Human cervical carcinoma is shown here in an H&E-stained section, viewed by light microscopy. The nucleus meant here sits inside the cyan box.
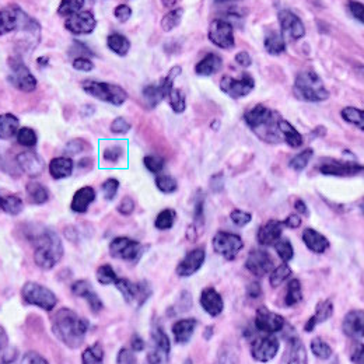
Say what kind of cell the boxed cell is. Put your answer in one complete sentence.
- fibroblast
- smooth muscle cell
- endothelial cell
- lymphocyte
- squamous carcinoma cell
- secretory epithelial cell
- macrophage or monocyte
The identity of the boxed cell is that of a lymphocyte.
